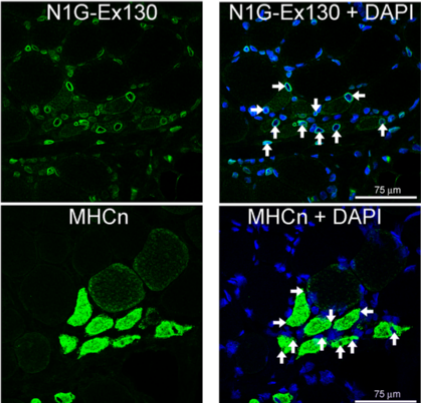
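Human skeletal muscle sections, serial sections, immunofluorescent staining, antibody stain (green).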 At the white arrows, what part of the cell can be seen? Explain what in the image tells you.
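Nuclei of regenerating fibres. The arrows point at blue nuclei at the margins of fibre profiles. In the lower pair these nuclei border small, bright green fibres.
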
